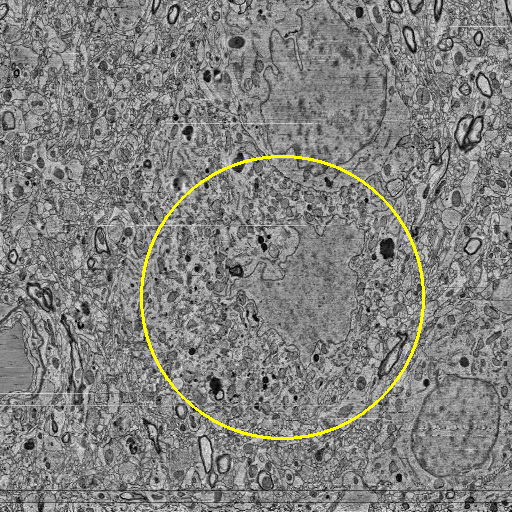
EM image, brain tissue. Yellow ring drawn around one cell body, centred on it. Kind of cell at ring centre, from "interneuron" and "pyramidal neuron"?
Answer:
pyramidal neuron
